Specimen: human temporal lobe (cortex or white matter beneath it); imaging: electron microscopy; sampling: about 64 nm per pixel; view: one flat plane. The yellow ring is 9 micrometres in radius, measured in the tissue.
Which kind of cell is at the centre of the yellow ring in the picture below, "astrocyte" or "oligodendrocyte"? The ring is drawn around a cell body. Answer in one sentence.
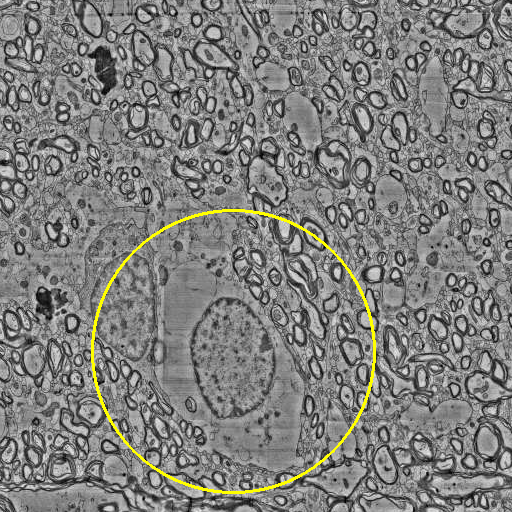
The ring's central cell is an astrocyte.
